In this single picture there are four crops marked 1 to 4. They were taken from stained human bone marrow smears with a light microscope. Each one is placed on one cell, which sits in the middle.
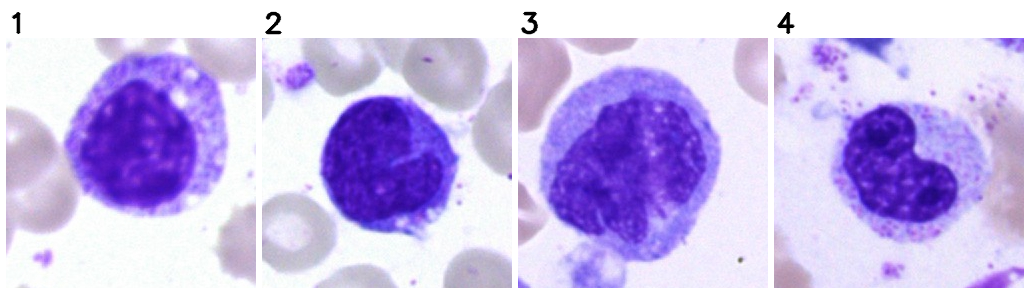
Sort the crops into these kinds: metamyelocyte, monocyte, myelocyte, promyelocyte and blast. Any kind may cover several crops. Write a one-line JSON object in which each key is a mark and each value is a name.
{"1": "myelocyte", "2": "monocyte", "3": "monocyte", "4": "metamyelocyte"}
